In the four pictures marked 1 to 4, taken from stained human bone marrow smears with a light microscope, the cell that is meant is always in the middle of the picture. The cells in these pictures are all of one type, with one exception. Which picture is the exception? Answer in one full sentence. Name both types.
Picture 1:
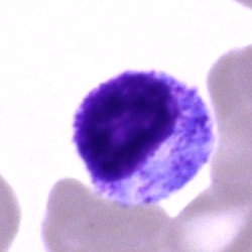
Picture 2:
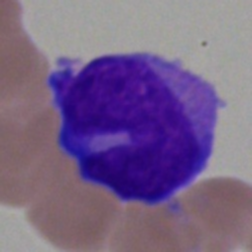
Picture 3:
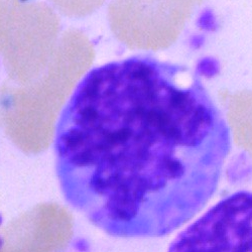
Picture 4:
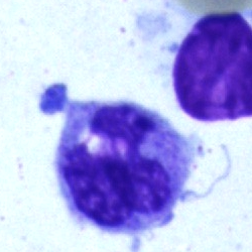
The others show monocytes, but picture 1 shows a myelocyte.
